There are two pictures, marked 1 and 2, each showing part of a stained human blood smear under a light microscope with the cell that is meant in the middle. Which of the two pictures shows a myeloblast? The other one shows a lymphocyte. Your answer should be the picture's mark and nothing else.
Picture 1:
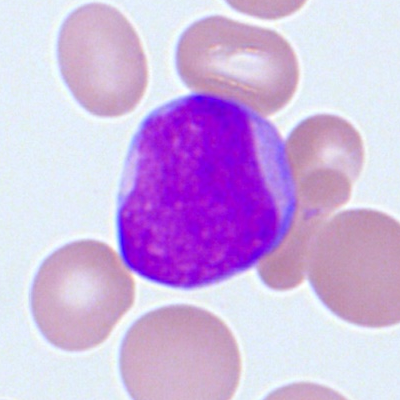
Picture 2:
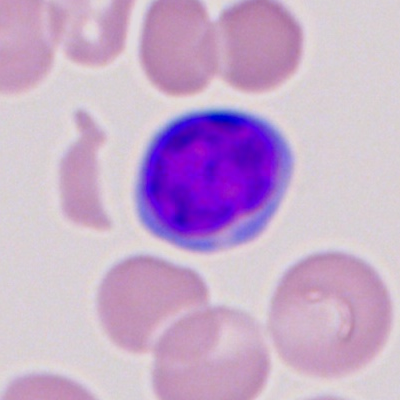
1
